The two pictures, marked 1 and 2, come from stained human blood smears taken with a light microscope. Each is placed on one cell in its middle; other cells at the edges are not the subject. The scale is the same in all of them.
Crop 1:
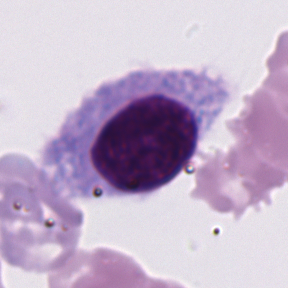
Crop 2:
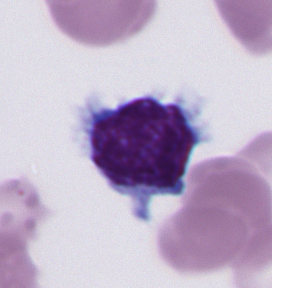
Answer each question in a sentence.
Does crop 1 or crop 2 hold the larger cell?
Larger is the cell in crop 1, at roughly 1.5 times the area of the other.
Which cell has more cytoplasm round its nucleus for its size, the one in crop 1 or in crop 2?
The nucleus fills less of the cell in crop 1 than in crop 2.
